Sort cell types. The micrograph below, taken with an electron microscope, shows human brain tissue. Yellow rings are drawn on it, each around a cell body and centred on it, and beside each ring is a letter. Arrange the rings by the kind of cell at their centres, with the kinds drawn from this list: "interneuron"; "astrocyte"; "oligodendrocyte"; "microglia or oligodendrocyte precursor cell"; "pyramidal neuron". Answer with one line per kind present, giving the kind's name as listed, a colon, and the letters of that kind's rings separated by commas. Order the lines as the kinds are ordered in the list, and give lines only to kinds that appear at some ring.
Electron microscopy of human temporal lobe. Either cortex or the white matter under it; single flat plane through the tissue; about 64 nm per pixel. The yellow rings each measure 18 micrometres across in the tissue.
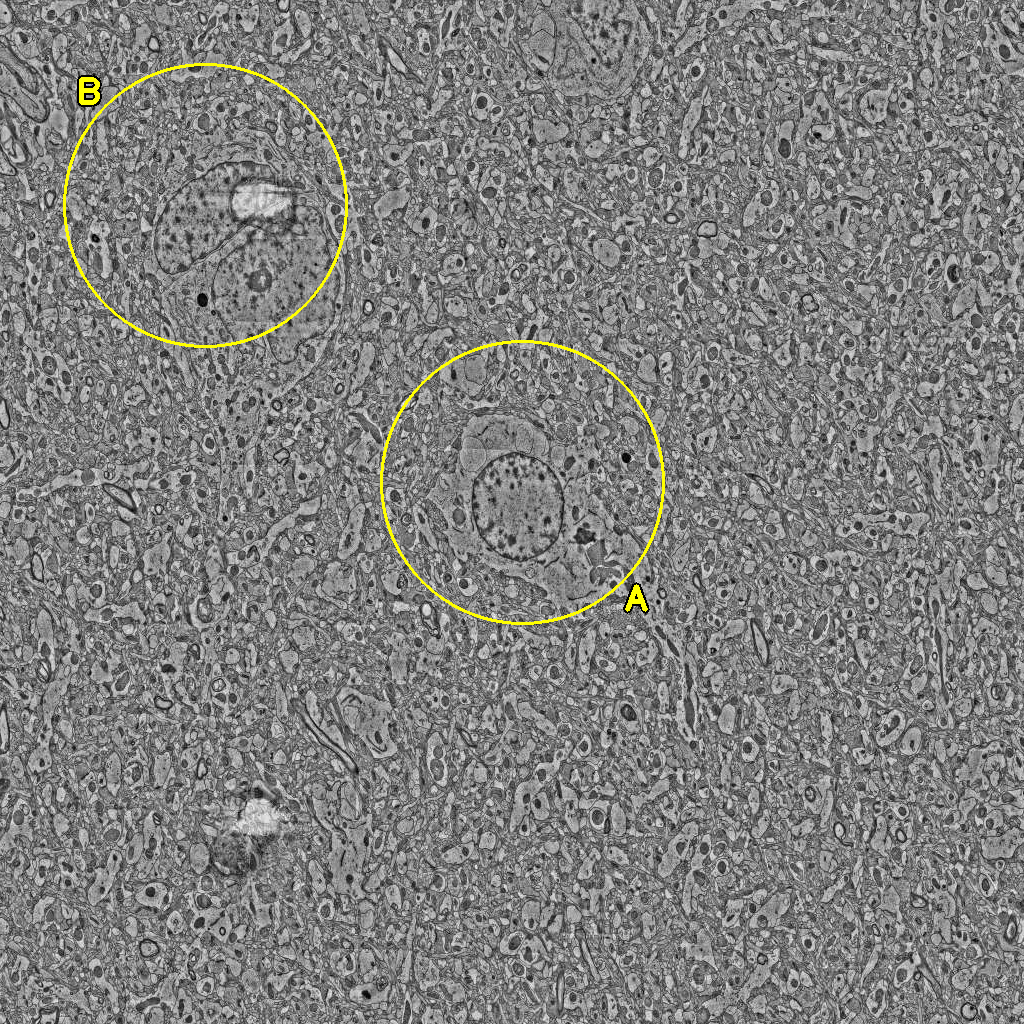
astrocyte: A
microglia or oligodendrocyte precursor cell: B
